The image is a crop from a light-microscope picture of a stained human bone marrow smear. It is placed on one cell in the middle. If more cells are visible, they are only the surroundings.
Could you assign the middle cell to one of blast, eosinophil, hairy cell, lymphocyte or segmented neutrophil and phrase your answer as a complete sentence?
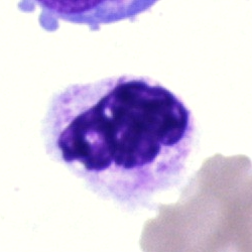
The identification for the central cell is a segmented neutrophil.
